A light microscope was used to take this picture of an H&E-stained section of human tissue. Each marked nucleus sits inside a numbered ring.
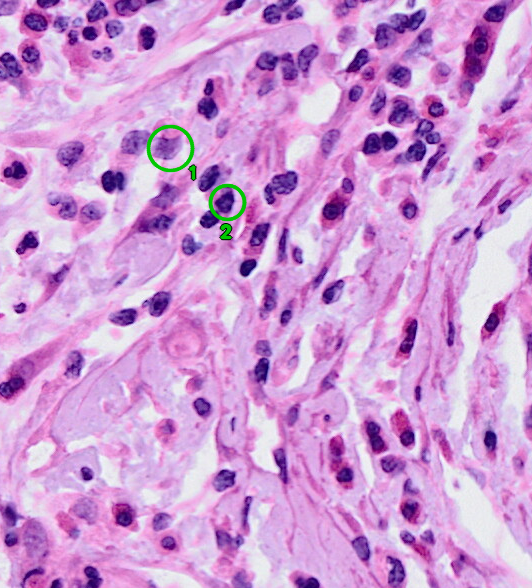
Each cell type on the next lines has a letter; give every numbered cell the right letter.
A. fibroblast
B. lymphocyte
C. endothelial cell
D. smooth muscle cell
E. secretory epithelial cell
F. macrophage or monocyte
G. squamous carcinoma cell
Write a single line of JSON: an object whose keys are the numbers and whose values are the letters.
{"1": "F", "2": "B"}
